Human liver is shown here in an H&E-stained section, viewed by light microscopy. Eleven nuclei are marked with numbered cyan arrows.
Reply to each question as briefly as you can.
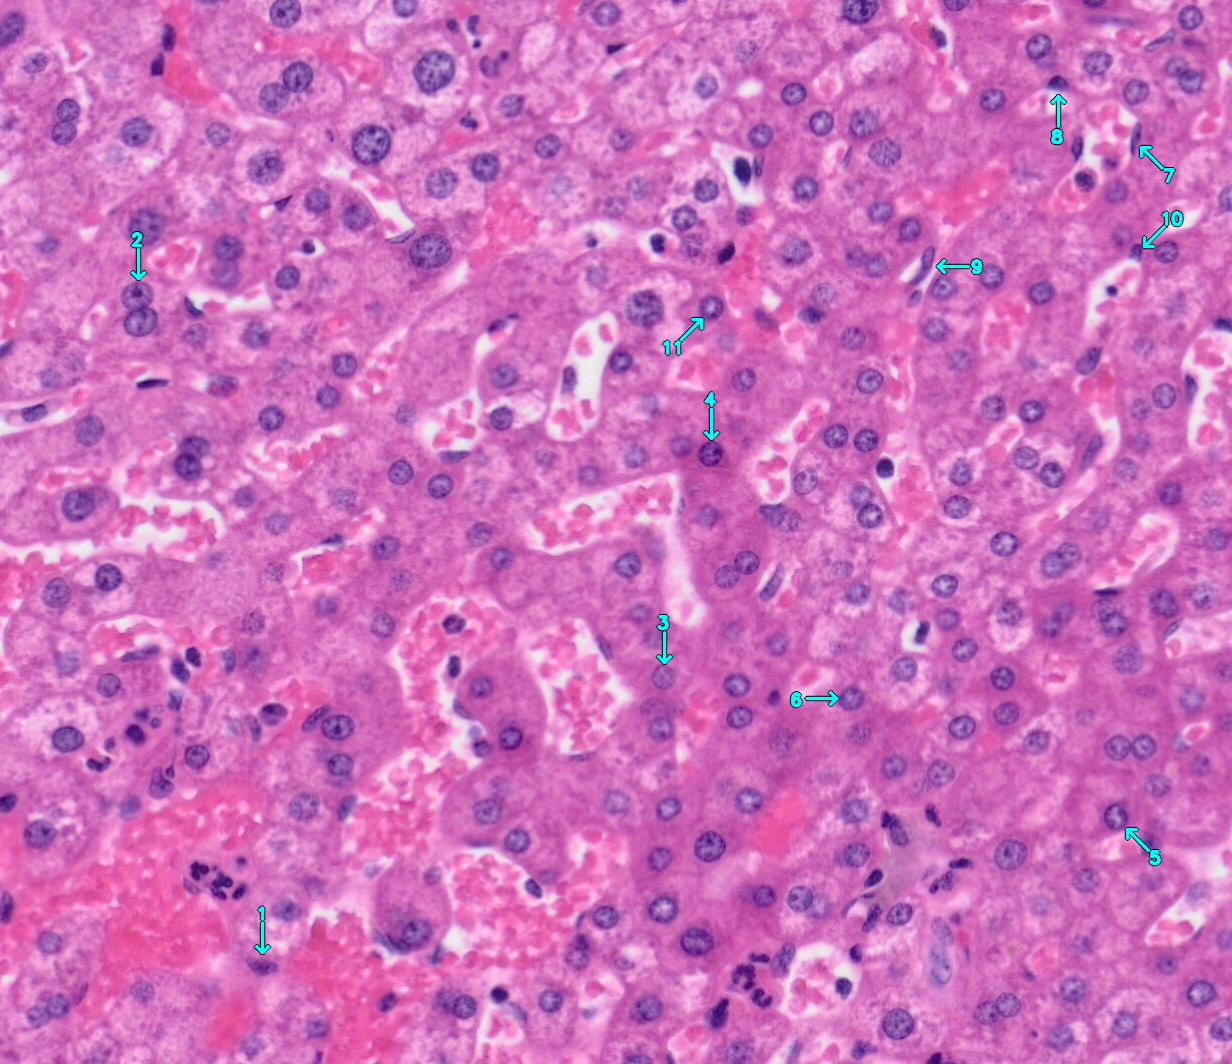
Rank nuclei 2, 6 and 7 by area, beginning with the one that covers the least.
7, 6, 2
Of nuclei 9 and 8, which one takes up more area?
9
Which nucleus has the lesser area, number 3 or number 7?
7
